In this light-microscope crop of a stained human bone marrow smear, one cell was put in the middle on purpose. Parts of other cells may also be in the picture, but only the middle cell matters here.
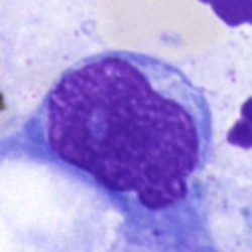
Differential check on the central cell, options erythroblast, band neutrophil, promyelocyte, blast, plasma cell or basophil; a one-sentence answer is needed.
The cell centered in this field of view is a blast.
